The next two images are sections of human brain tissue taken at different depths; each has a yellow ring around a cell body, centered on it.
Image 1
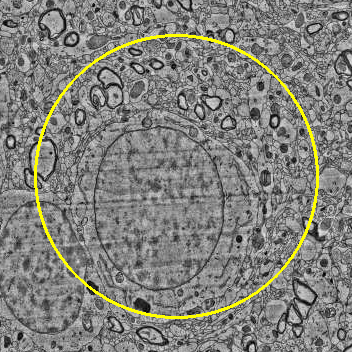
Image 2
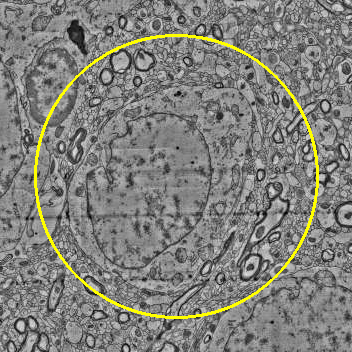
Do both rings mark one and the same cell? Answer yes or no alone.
no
